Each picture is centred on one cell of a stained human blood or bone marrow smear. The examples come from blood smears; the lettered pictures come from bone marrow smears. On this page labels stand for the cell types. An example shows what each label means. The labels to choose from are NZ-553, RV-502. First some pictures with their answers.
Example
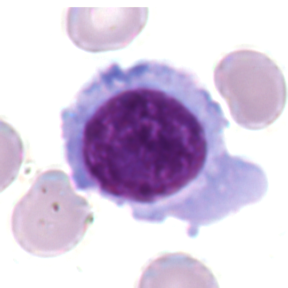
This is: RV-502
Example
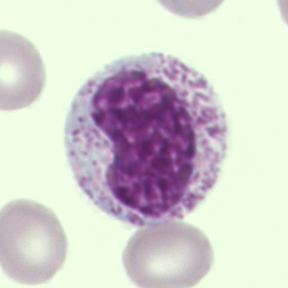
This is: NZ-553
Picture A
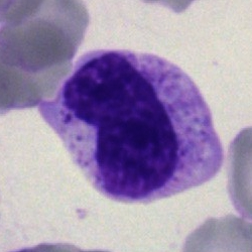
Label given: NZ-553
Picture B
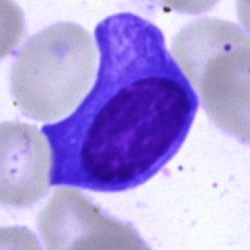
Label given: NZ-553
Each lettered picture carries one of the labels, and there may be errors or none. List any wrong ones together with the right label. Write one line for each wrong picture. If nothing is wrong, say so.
B: RV-502, not NZ-553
